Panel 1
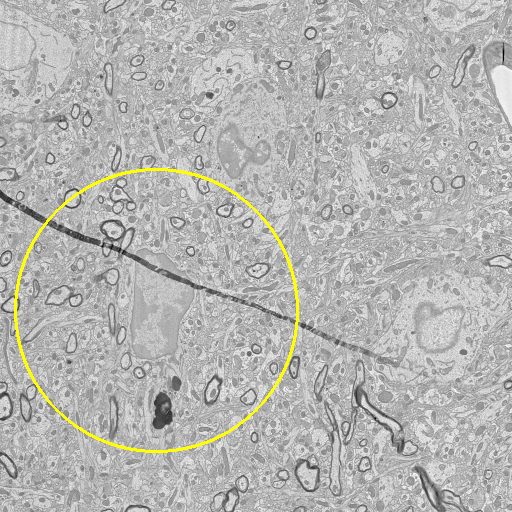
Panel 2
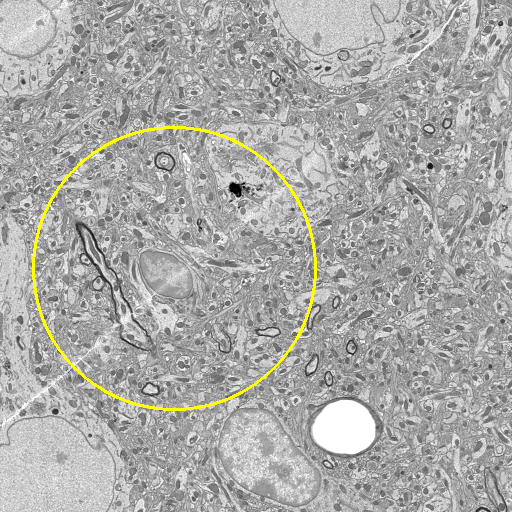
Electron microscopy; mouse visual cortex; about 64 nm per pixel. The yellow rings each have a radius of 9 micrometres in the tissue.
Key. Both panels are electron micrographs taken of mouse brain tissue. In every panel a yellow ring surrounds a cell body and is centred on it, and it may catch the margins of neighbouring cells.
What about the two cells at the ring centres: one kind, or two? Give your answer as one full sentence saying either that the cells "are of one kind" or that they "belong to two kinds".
Across Panels 1 and 2, the two cells at the ring centres are of one kind.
